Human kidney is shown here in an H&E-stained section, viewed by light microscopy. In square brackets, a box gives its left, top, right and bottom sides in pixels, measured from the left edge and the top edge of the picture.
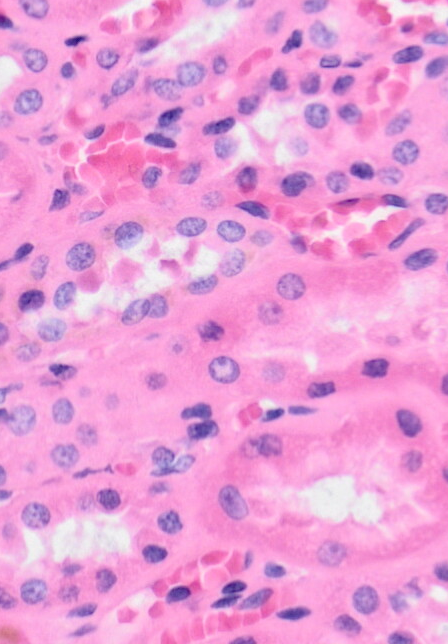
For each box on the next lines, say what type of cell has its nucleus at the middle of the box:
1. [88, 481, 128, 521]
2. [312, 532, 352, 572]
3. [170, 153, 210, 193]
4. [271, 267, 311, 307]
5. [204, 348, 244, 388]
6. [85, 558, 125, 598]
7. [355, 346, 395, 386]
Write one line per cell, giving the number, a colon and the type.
1: loop of Henle or distal tubule cell
2: proximal tubule cell
3: loop of Henle or distal tubule cell
4: proximal tubule cell
5: proximal tubule cell
6: loop of Henle or distal tubule cell
7: proximal tubule cell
